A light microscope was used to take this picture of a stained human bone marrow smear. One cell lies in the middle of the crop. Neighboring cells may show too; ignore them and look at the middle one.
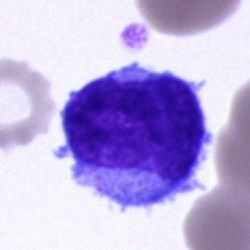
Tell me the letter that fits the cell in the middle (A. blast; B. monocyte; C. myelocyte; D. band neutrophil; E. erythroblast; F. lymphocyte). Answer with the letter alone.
A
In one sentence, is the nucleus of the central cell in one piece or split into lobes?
One compact mass makes up the whole nucleus, round, oval or kidney-shaped.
